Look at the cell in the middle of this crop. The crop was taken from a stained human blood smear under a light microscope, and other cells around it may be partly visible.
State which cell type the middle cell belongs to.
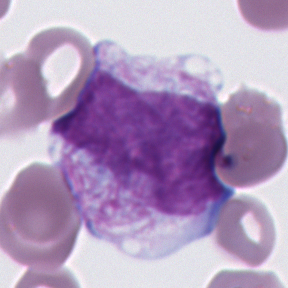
atypical promyelocyte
